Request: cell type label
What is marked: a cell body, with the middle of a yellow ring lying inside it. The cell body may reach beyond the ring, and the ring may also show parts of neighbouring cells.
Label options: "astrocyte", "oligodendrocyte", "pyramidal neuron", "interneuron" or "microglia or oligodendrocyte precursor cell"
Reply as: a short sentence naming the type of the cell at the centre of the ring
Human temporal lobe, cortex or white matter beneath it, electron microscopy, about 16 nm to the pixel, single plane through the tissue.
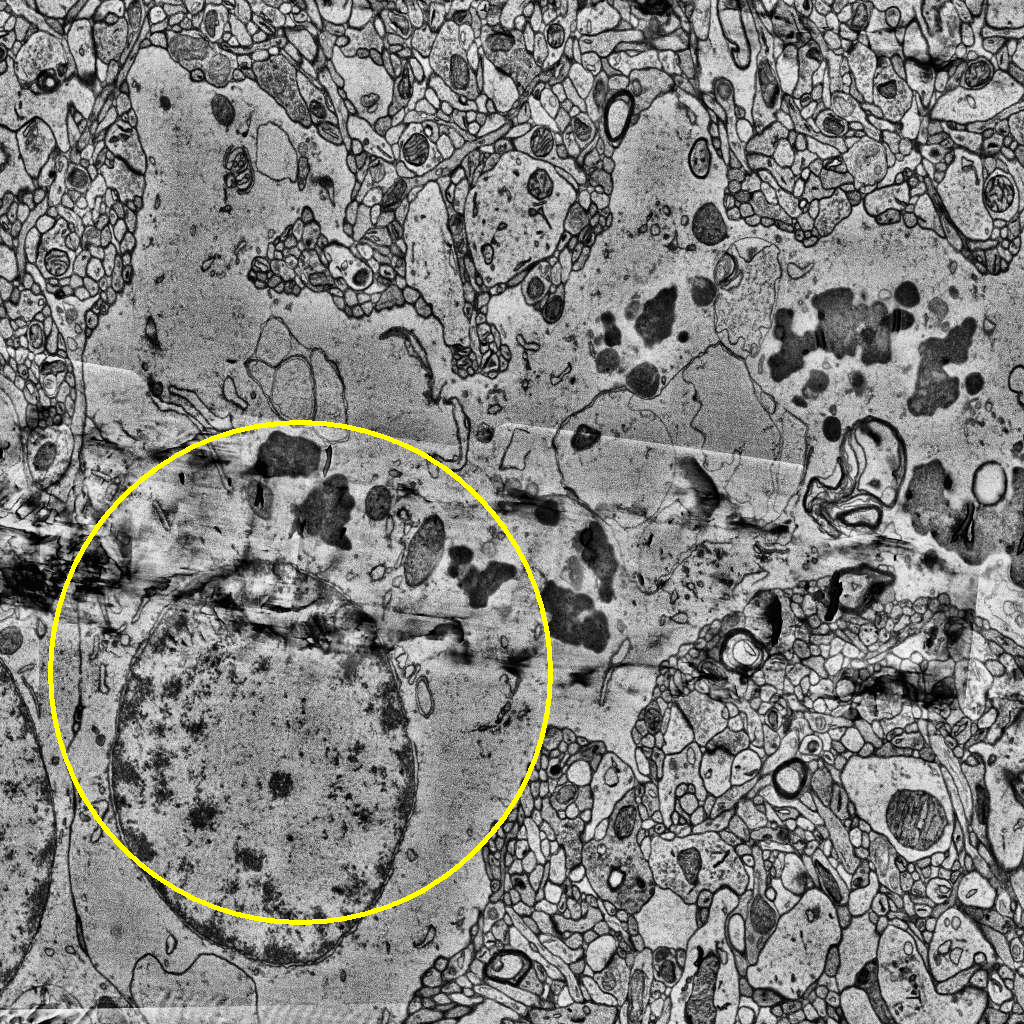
The marked cell body is that of an astrocyte.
